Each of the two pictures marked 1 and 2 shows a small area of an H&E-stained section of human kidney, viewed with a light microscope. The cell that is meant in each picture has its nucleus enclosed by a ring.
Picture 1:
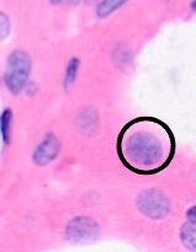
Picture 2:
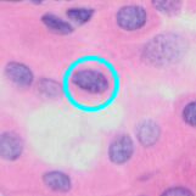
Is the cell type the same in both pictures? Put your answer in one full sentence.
Yes, they are the same type: both are “loop of Henle or distal tubule cells”.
